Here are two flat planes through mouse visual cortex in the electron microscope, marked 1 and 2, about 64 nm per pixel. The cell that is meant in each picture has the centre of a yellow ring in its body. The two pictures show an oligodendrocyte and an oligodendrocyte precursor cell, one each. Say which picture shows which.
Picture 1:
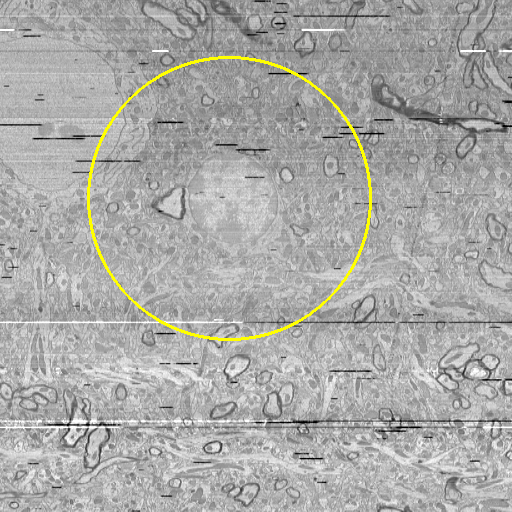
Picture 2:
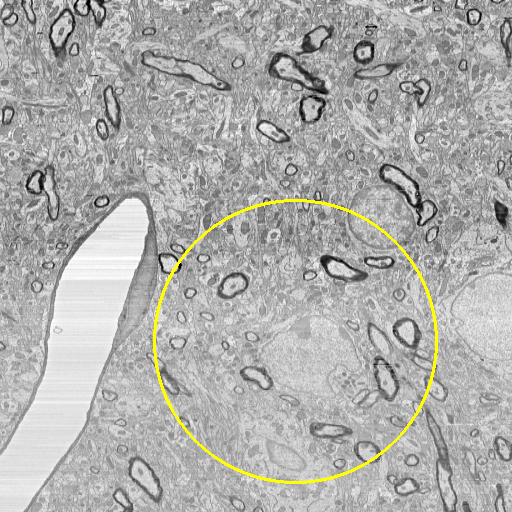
Picture 2 shows an oligodendrocyte precursor cell, while picture 1 shows an oligodendrocyte.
